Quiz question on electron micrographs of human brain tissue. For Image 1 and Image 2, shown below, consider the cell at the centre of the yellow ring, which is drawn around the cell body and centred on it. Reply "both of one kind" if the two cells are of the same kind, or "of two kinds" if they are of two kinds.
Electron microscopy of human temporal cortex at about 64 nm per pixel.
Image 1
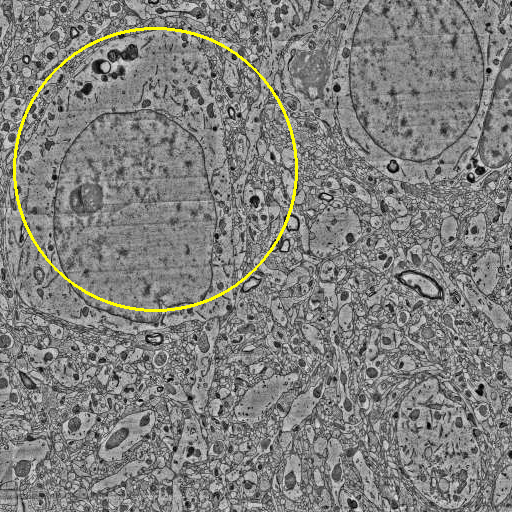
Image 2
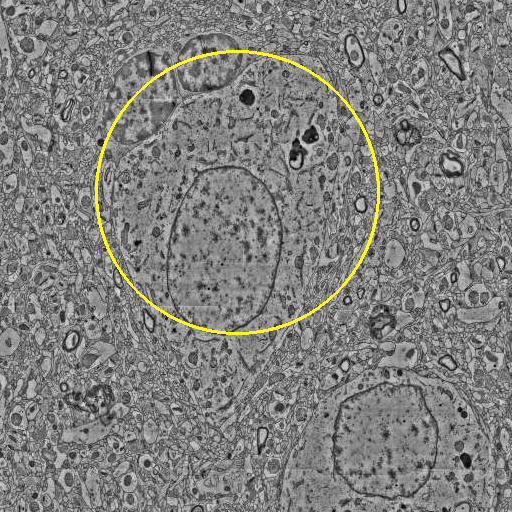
both of one kind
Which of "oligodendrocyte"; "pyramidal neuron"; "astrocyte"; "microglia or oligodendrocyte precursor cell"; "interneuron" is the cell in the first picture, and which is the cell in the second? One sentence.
In each of the two pictures, the ringed cell is a pyramidal neuron.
